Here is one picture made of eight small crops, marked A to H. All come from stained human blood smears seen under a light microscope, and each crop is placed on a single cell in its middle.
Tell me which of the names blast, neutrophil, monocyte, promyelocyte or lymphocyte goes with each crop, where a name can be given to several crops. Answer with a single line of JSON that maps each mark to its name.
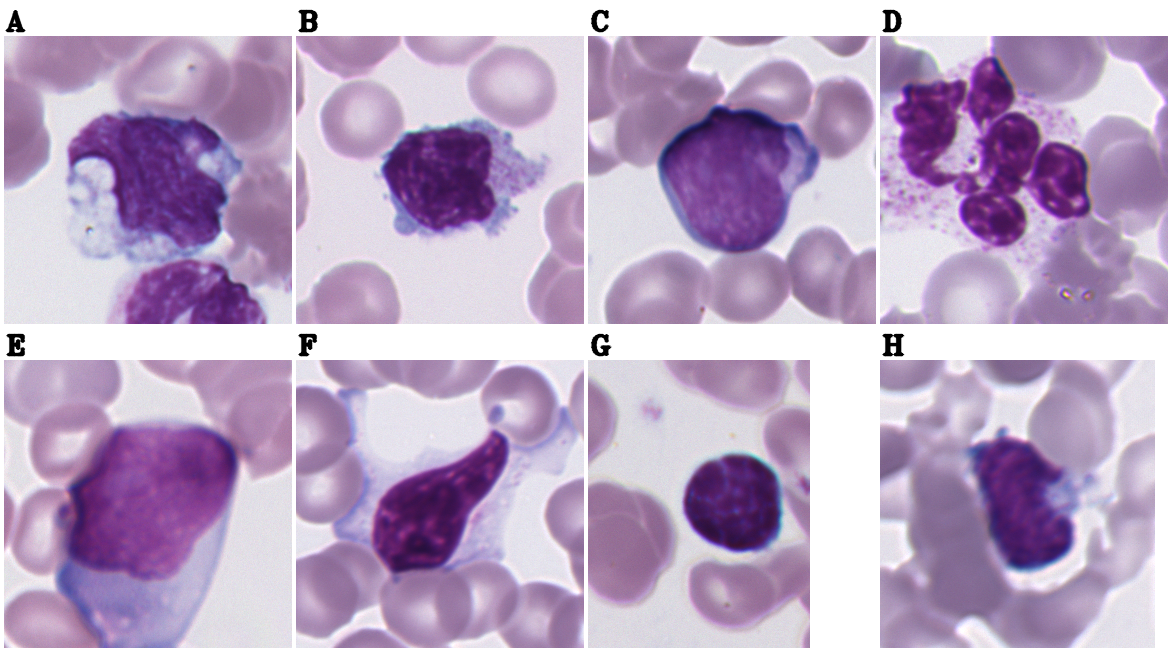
{"A": "monocyte", "B": "lymphocyte", "C": "blast", "D": "neutrophil", "E": "blast", "F": "lymphocyte", "G": "lymphocyte", "H": "lymphocyte"}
